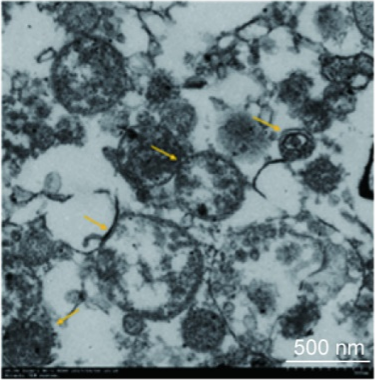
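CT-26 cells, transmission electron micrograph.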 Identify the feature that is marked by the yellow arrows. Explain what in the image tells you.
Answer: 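The arrows point at membranes of round vesicles. One small vesicle at an arrow shows a double-layered rim around granular content. The vesicles are of the order of the 500 nm scale bar. The answer: double-membrane spheroid.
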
